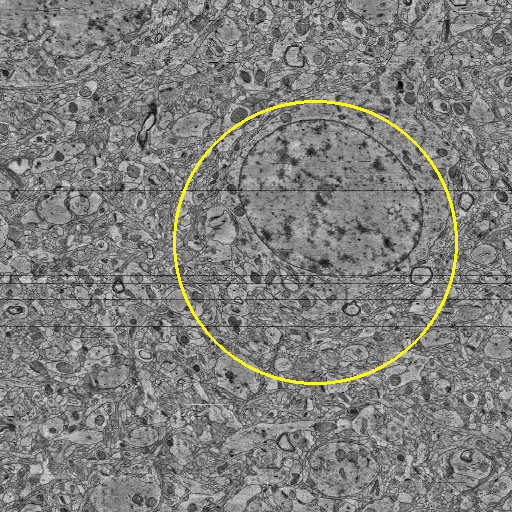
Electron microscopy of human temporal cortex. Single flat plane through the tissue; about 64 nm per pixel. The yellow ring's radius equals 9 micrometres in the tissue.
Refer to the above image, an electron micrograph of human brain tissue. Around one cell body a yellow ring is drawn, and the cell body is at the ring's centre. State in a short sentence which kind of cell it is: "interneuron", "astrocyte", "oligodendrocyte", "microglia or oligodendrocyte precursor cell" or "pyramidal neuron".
The centre of the ring falls on a pyramidal neuron.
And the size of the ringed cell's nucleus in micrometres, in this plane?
About 12 by 10 micrometres in this plane.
